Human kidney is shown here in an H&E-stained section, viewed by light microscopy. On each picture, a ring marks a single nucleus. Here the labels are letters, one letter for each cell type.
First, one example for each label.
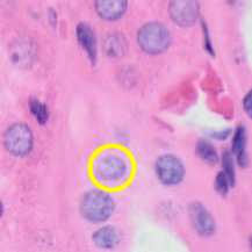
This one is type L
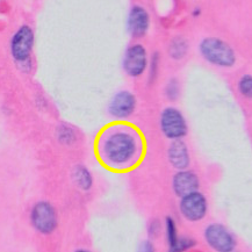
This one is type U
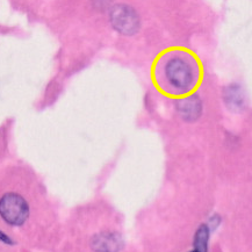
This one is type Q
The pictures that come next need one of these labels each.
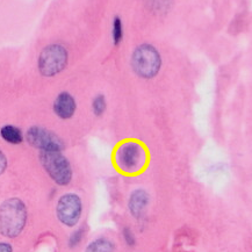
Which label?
type L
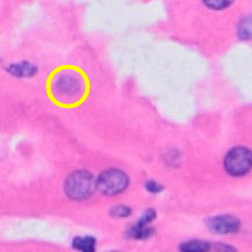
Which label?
type Q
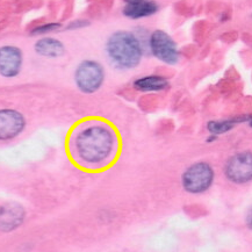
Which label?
type Q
